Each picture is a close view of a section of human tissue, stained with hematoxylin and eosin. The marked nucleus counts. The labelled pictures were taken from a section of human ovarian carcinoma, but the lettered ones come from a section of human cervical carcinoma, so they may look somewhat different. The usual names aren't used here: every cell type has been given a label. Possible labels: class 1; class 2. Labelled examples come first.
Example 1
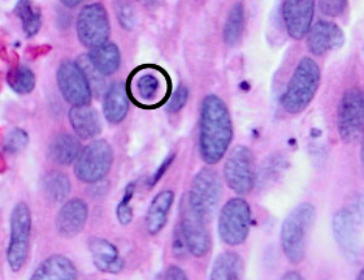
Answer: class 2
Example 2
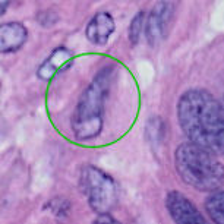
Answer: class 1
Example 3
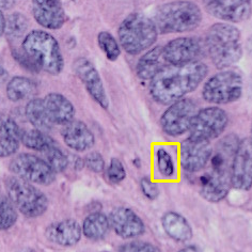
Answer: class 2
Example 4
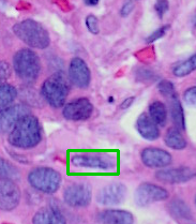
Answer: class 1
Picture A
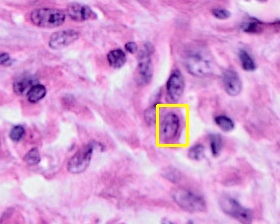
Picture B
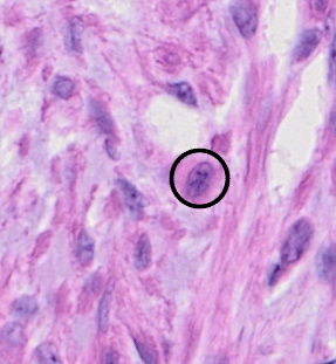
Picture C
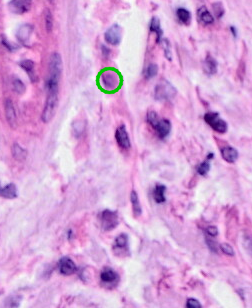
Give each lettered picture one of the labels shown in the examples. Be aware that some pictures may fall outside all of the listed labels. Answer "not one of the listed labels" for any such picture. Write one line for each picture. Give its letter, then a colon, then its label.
A: not one of the listed labels
B: not one of the listed labels
C: not one of the listed labels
